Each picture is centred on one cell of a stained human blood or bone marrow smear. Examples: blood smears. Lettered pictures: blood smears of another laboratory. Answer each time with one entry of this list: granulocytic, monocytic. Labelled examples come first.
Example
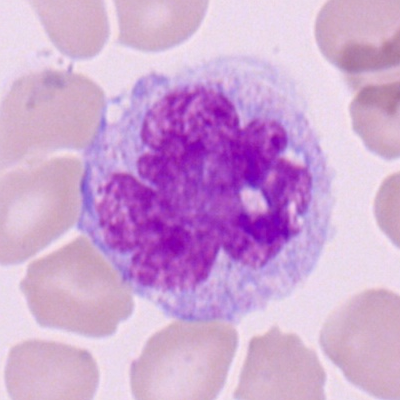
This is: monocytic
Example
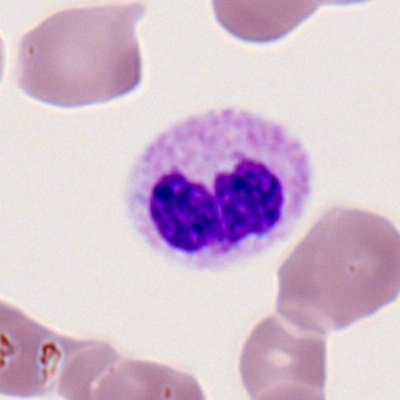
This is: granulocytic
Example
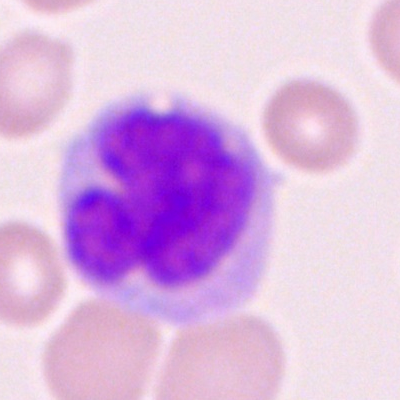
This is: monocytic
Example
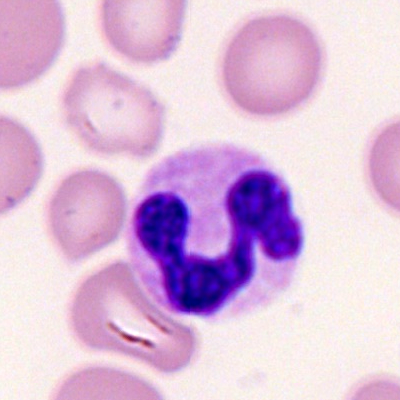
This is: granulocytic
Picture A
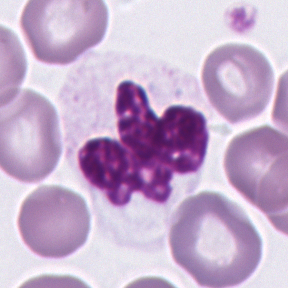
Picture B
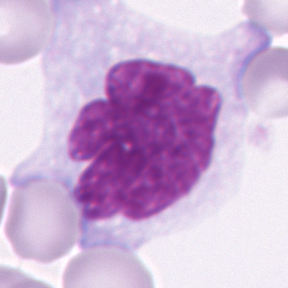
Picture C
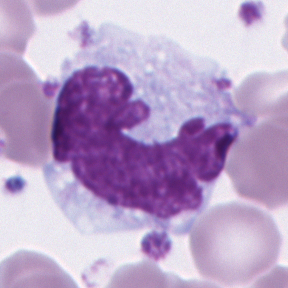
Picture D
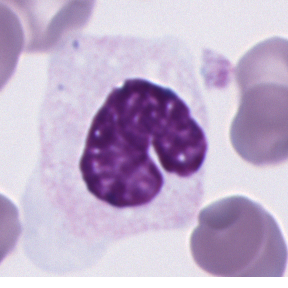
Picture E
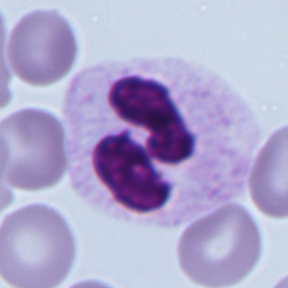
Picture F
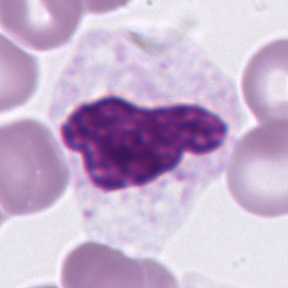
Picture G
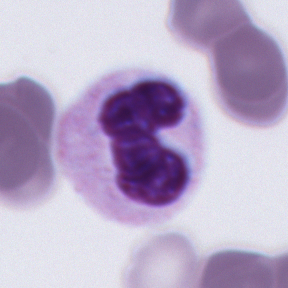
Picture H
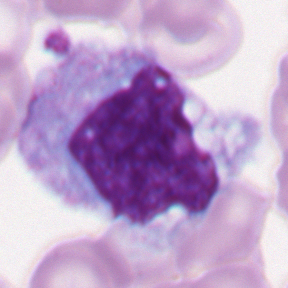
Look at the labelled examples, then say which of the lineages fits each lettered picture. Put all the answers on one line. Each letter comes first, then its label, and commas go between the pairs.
A granulocytic, B monocytic, C monocytic, D granulocytic, E granulocytic, F granulocytic, G granulocytic, H monocytic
